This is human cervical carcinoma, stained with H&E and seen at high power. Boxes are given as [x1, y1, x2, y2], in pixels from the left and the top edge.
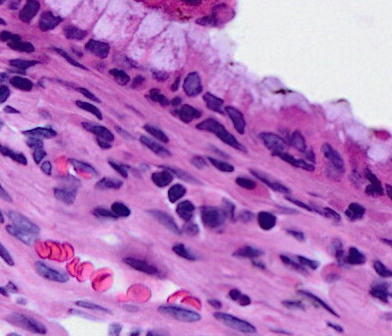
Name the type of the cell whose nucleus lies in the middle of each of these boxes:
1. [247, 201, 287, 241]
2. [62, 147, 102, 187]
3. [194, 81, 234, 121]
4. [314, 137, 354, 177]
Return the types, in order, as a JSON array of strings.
["lymphocyte", "endothelial cell", "secretory epithelial cell", "secretory epithelial cell"]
